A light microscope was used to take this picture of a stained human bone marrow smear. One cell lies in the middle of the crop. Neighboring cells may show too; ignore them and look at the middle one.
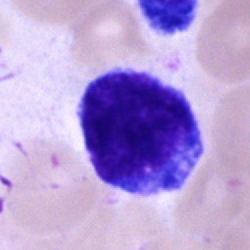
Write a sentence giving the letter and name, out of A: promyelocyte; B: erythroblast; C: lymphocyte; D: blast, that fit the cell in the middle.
Option D holds, for the cell in the middle is a blast.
